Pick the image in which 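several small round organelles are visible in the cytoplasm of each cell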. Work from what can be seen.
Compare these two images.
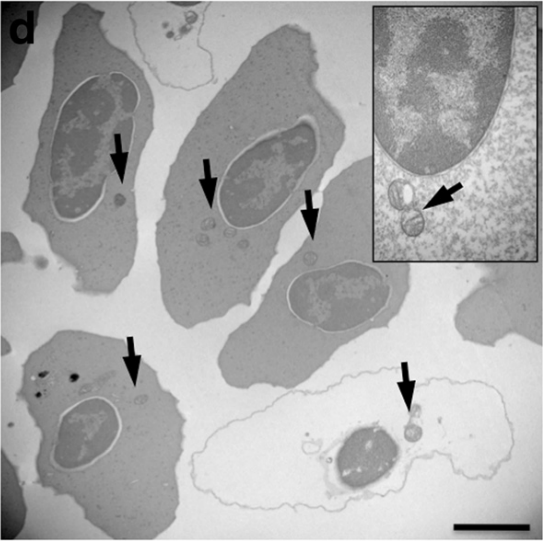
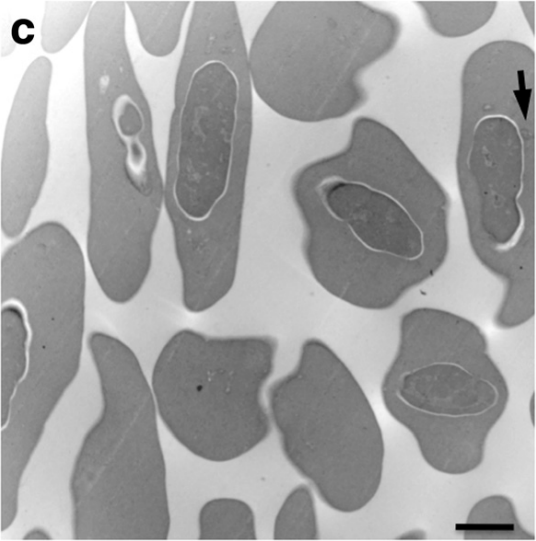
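First image: several small round membrane-bound bodies lie in the cytoplasm of most cells near the nucleus. Second image: the cytoplasm is largely uniform, with only a rare small body near a nucleus.
Answer: the first image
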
